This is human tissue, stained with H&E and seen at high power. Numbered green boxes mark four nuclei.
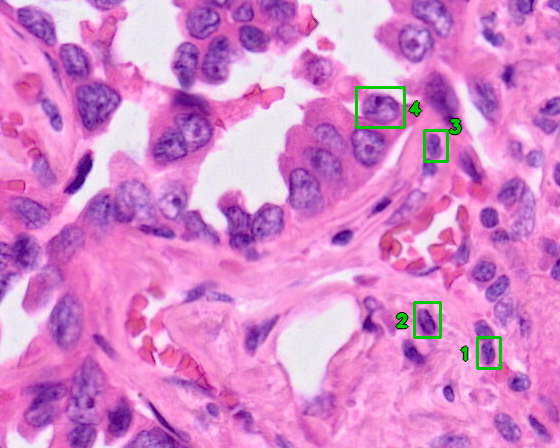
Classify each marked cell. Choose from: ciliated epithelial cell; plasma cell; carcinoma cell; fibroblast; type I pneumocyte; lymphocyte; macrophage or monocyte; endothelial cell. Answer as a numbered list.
1. lymphocyte
2. plasma cell
3. lymphocyte
4. carcinoma cell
